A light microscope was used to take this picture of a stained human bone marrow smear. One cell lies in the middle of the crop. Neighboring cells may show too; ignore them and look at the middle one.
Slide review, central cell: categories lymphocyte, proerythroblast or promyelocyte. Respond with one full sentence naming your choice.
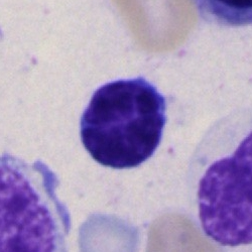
Classified as a lymphocyte is the cell in the middle of this crop.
